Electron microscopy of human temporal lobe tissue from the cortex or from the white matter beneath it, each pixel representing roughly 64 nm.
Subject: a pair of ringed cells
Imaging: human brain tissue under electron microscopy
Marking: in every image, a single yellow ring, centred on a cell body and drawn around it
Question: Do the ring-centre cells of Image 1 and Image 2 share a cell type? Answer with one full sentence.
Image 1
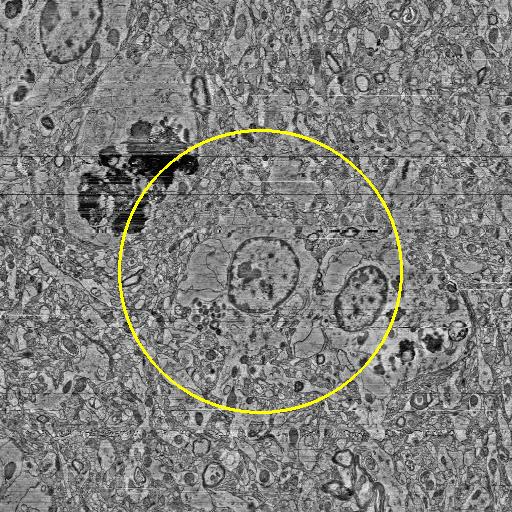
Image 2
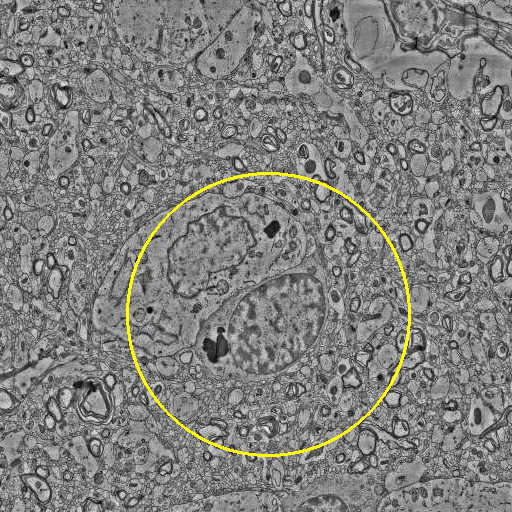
No, at the ring centres in the images sit cells of two separate types.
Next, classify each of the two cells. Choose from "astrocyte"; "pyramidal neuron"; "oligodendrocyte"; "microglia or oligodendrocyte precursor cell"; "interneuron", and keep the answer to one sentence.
In the first picture it is an astrocyte; in the second it is an oligodendrocyte.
